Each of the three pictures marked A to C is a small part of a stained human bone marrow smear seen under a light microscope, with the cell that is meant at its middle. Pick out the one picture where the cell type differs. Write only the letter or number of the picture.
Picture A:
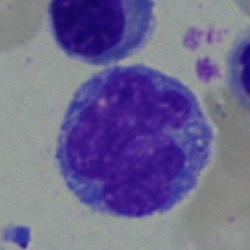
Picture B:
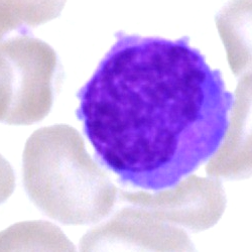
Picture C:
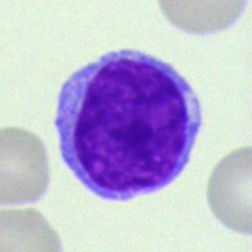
C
